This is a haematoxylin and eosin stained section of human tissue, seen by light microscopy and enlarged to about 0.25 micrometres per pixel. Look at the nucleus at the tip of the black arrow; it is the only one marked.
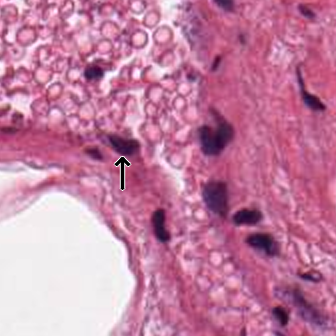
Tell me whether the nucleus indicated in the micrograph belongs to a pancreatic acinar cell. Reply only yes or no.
no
